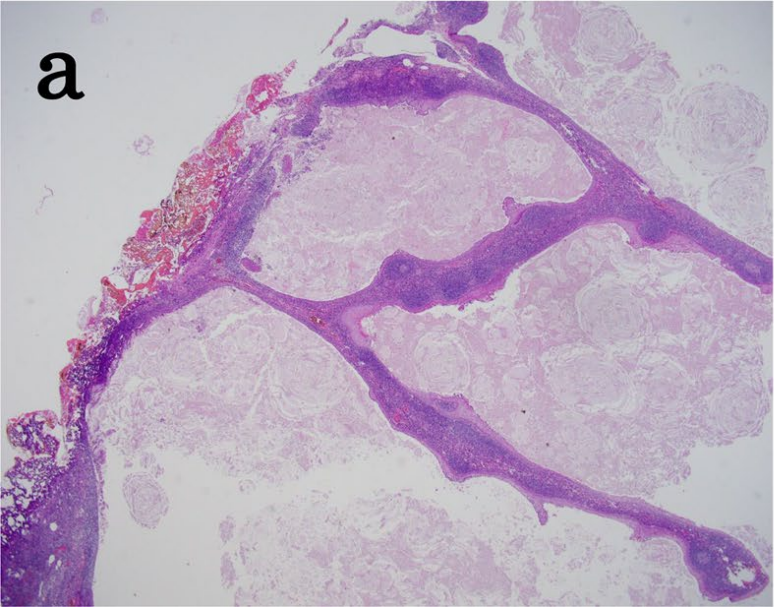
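At low power a multilocular cyst is seen, its locules filled with pale pink flaky keratinous material and separated by thin branching septa. The septa are made of densely purple lymphoid tissue with darker rounded nodules, covered by a thin epithelial lining.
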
